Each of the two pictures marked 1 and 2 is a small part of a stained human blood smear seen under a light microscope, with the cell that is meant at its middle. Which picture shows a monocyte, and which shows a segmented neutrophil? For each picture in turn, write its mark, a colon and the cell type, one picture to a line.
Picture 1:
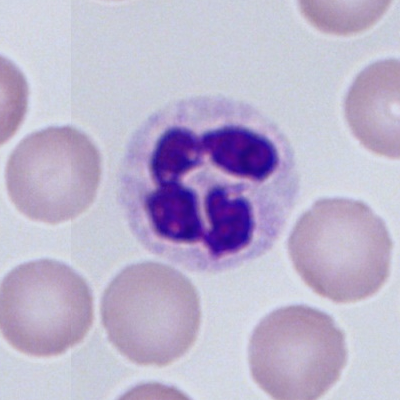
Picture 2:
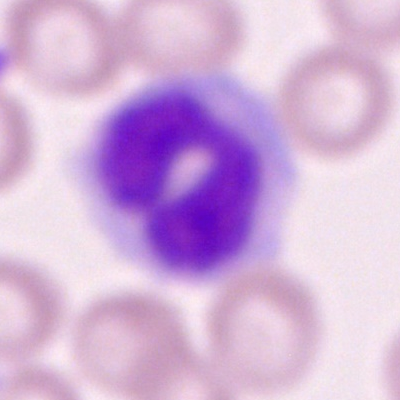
1: segmented neutrophil
2: monocyte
